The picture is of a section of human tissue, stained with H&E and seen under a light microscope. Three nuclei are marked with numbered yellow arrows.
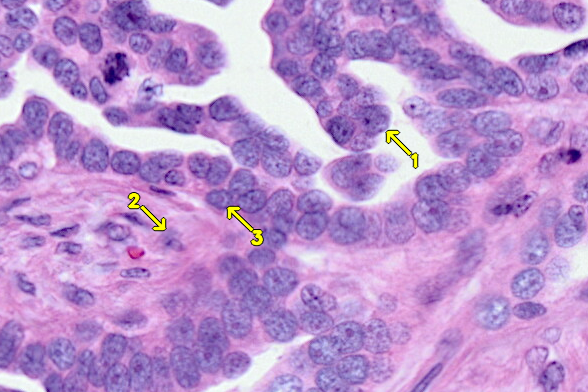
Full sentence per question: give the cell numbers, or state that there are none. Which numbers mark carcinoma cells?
On this slide, the cells numbered 1 and 3 are carcinoma cells.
